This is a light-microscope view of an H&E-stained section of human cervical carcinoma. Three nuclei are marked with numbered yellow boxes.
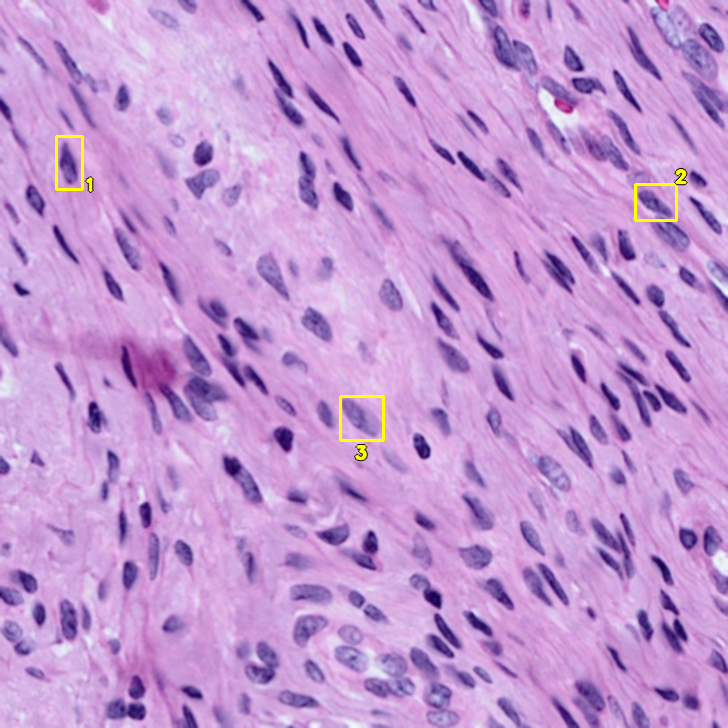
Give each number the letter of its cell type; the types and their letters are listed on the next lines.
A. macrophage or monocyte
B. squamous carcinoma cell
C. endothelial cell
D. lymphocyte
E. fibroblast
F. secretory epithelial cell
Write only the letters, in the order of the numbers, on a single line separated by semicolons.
E; C; E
